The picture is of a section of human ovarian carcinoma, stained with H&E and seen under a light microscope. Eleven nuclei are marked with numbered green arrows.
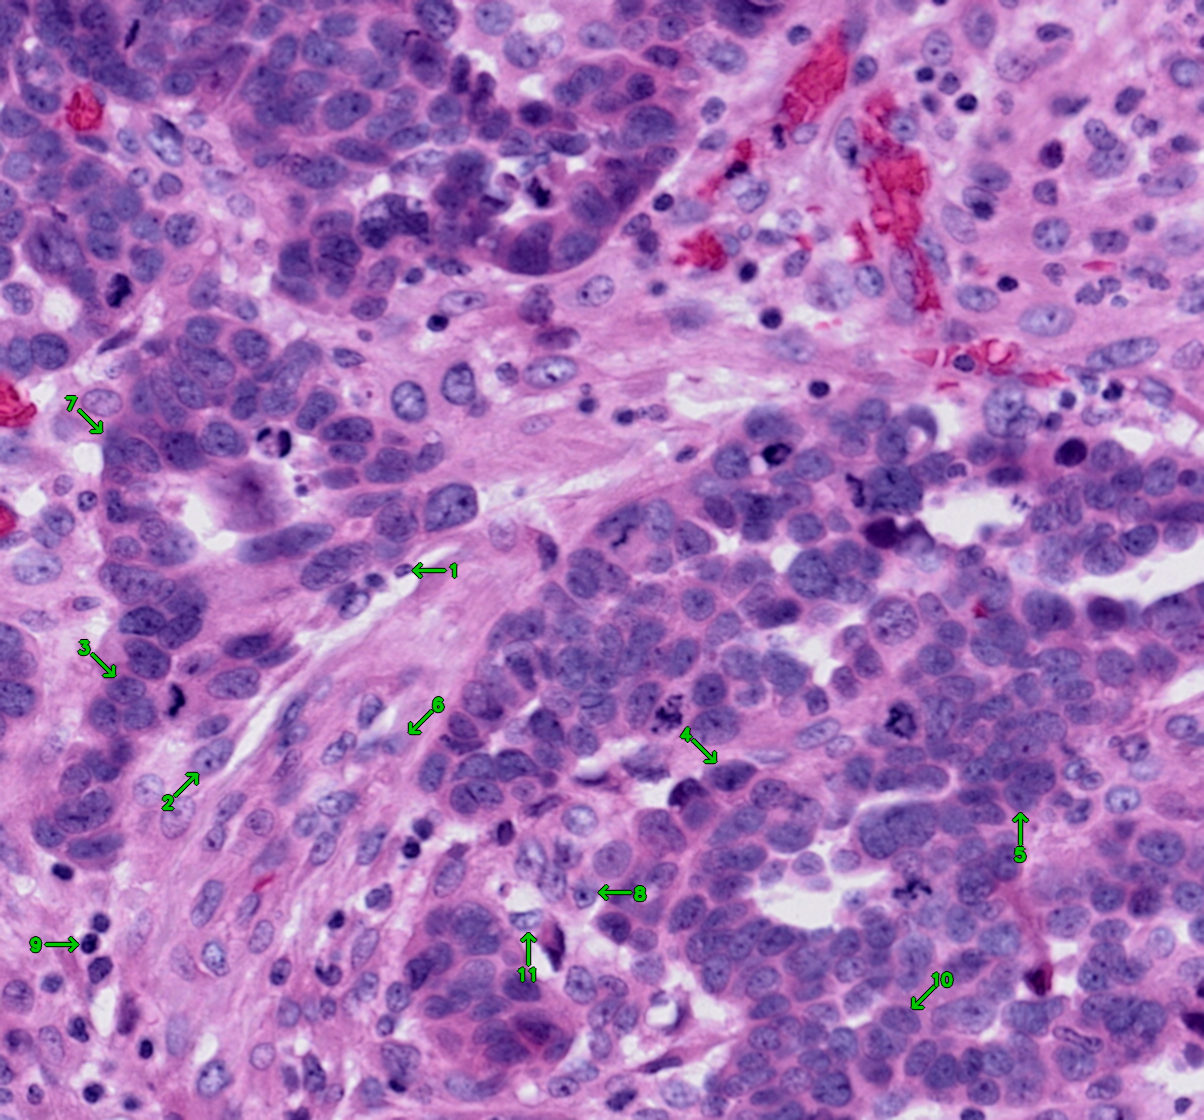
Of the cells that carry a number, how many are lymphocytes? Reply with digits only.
2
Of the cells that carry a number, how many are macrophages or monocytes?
2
